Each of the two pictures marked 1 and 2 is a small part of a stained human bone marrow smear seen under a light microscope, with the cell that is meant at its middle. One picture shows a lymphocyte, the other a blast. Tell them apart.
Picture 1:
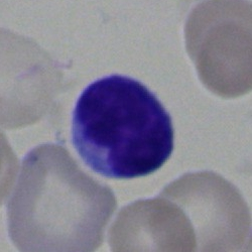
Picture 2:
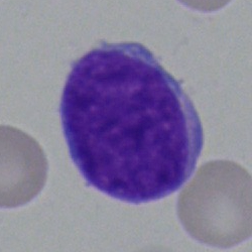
1: lymphocyte
2: blast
